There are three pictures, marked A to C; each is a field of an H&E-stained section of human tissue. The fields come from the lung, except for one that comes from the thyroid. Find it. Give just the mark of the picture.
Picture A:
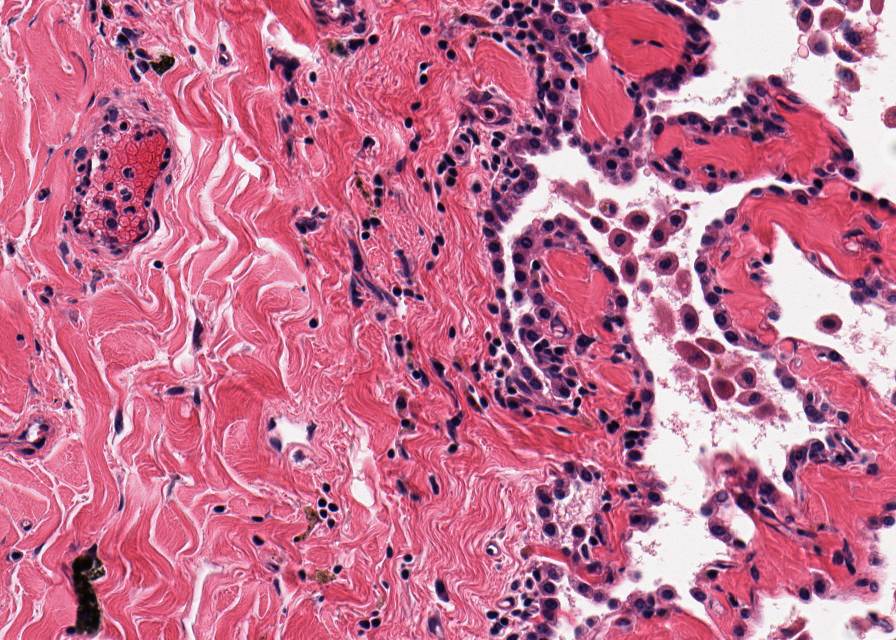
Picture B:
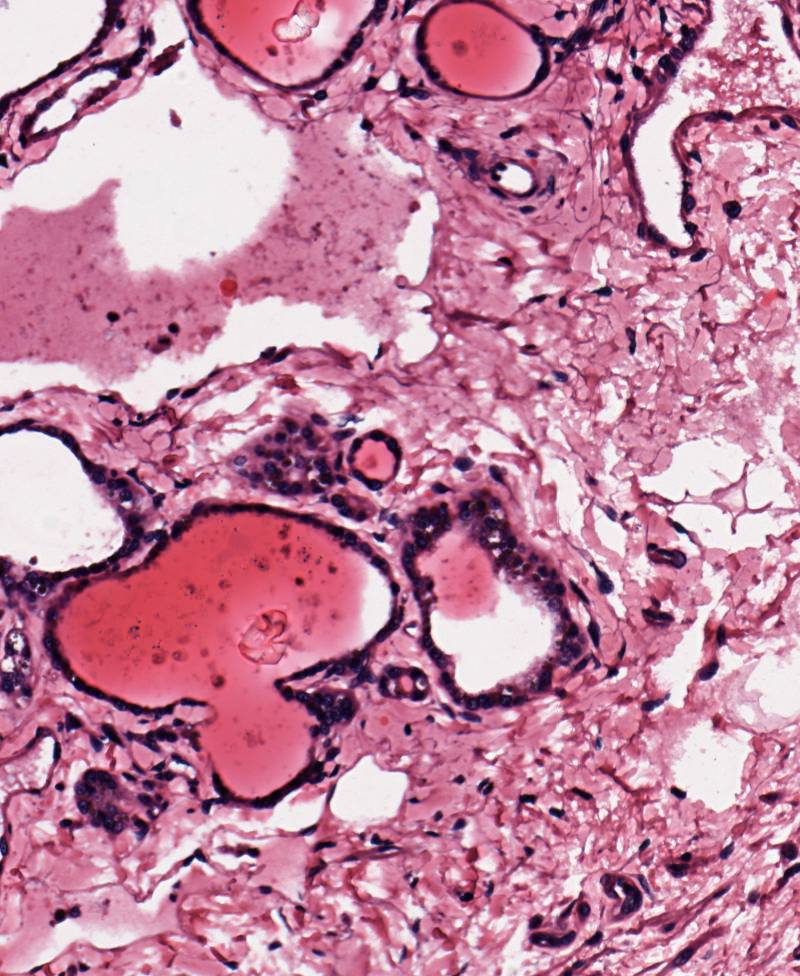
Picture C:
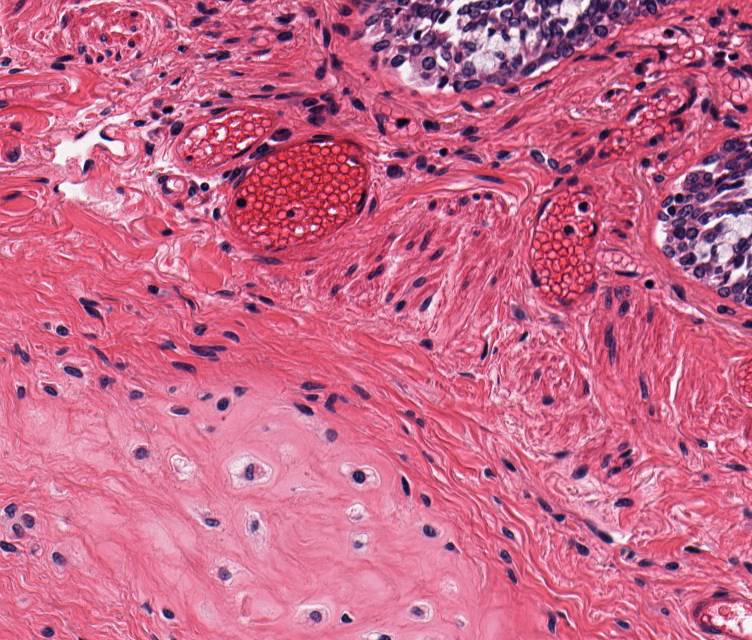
B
